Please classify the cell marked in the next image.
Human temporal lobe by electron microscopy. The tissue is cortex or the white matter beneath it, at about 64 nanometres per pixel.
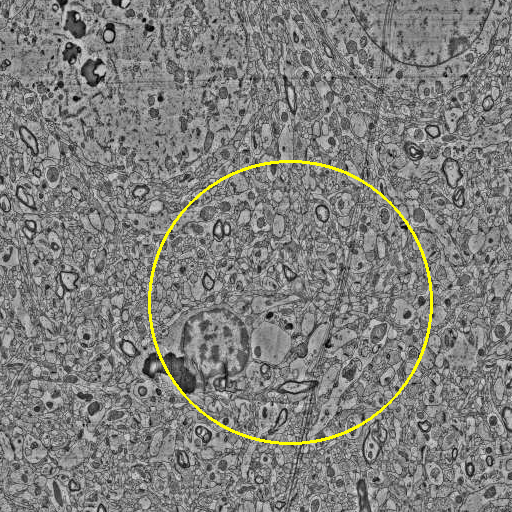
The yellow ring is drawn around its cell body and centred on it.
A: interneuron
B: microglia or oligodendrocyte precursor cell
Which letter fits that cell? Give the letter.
B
